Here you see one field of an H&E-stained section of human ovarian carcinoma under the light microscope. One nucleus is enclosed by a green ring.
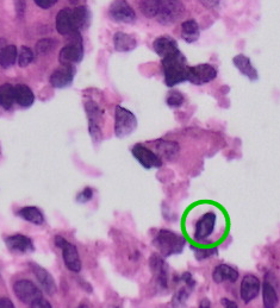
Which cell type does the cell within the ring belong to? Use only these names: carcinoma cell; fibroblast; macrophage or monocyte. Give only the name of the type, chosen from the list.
carcinoma cell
